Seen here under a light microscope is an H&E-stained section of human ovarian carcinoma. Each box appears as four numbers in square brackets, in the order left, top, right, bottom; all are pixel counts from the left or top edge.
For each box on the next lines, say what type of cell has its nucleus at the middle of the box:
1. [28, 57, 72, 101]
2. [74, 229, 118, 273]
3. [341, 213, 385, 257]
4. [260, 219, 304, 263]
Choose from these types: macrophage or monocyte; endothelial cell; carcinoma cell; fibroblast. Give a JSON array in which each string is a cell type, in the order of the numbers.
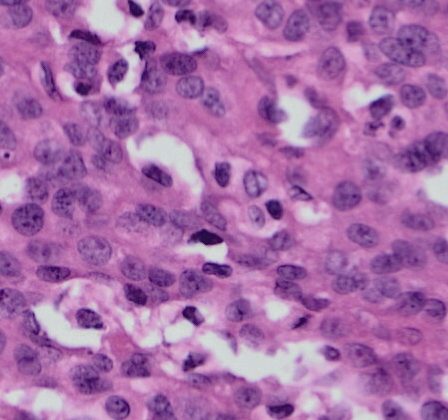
["endothelial cell", "carcinoma cell", "carcinoma cell", "carcinoma cell"]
